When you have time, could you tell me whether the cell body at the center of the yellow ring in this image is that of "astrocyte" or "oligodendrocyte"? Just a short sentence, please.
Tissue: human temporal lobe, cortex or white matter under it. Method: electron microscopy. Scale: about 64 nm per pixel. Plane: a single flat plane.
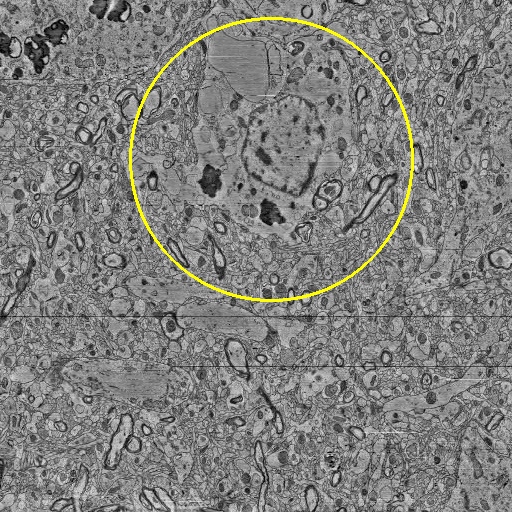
The cell body at the center of the ring is that of an astrocyte.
